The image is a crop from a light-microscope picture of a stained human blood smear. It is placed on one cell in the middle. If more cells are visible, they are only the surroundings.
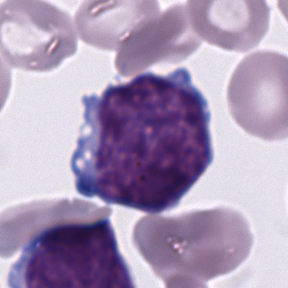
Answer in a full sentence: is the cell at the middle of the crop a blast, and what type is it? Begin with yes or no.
Yes, the cell in the middle is rightly called a blast.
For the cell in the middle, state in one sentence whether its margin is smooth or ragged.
Rather than running smoothly, the cell border is ragged or carries projections.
